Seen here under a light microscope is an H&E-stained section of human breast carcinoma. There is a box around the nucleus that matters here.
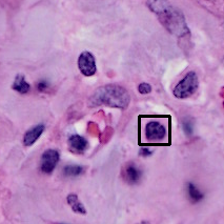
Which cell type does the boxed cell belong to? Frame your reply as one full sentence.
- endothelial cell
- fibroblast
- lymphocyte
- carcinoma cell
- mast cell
For the purposes of cell typing, the boxed cell is categorized as a mast cell.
